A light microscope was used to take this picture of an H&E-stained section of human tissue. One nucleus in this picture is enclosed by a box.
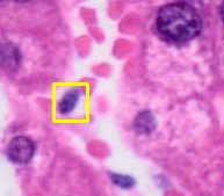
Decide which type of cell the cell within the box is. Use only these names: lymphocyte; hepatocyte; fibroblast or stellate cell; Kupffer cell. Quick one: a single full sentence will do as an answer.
Assigned to a cell type, the cell within the box is a lymphocyte.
